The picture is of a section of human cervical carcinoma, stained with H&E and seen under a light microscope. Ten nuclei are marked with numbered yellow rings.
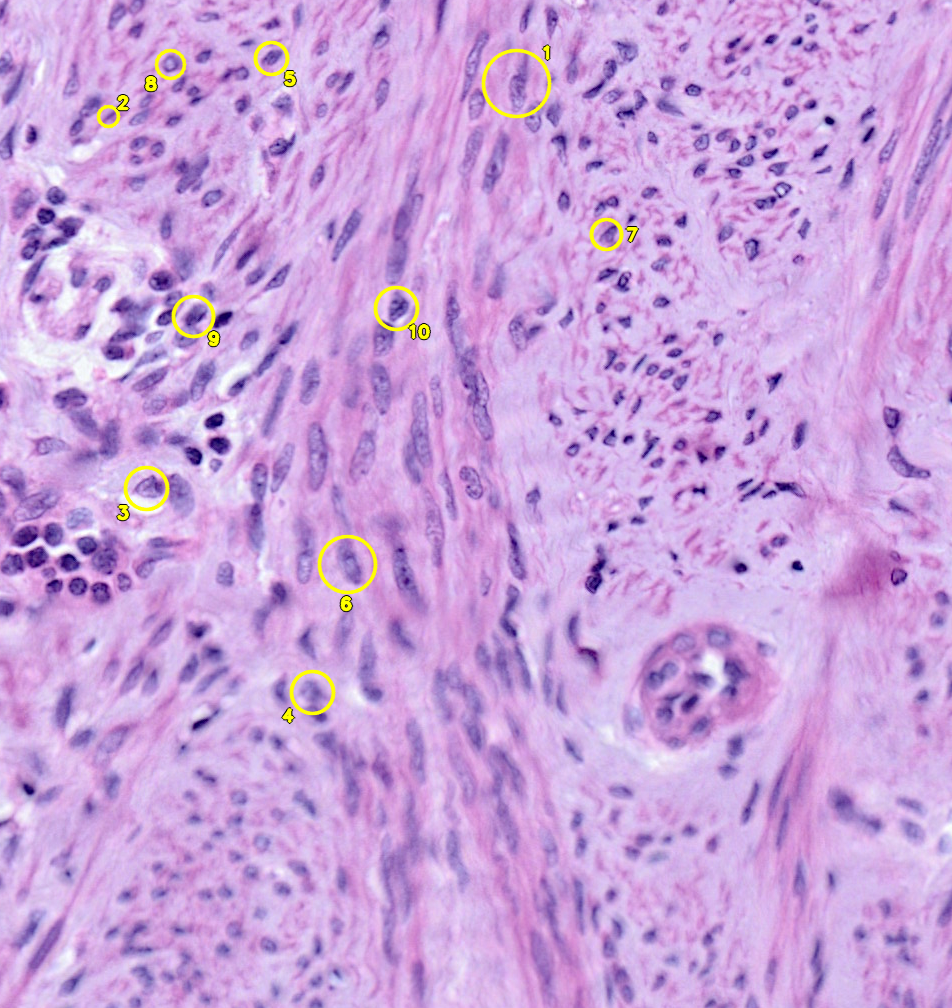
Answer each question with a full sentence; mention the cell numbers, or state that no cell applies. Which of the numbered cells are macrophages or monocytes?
Where the numbered cells are concerned, only number 3 is a macrophage or monocyte.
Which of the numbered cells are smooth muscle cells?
Cells 1, 2, 5, 6, 7 and 8 are smooth muscle cells by cell type.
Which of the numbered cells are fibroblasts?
The only cell among those numbered to be a fibroblast is number 4.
